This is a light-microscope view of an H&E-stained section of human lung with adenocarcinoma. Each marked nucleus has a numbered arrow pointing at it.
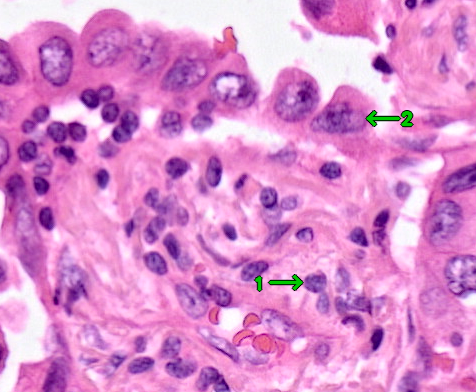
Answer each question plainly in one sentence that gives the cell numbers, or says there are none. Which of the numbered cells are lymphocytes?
Of all the numbered cells, only cell 1 is a lymphocyte.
